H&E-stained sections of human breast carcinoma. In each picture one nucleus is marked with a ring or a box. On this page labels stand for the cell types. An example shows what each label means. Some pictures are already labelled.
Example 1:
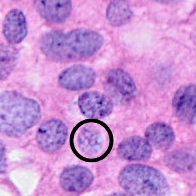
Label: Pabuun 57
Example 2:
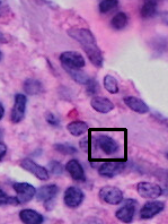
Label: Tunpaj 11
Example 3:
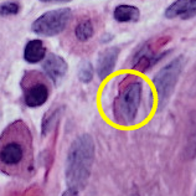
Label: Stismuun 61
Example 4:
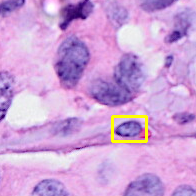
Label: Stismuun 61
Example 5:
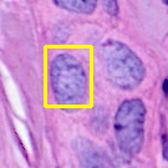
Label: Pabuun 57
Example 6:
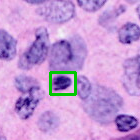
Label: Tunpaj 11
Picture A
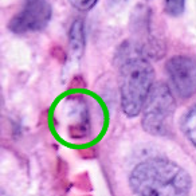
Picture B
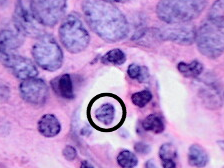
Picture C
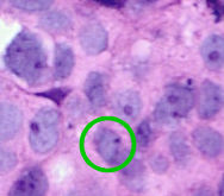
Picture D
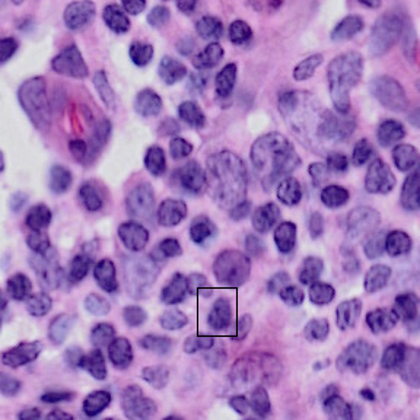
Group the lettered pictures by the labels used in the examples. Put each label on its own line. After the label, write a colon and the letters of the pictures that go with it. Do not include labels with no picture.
Pabuun 57: C
Tunpaj 11: B, D
Stismuun 61: A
